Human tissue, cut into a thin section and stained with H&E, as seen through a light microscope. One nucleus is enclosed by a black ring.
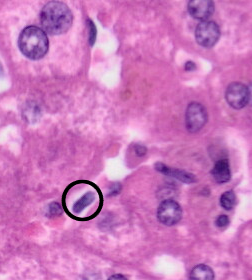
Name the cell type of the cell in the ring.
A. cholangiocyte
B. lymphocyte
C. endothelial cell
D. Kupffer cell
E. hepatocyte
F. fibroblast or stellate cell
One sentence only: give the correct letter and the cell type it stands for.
In short, option B: the cell in the ring is a lymphocyte.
